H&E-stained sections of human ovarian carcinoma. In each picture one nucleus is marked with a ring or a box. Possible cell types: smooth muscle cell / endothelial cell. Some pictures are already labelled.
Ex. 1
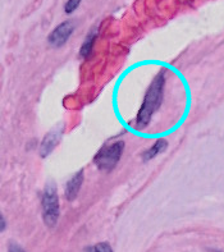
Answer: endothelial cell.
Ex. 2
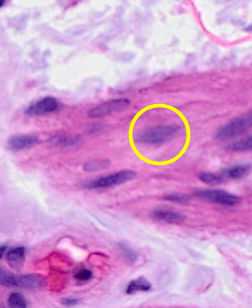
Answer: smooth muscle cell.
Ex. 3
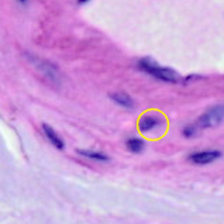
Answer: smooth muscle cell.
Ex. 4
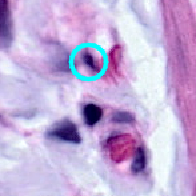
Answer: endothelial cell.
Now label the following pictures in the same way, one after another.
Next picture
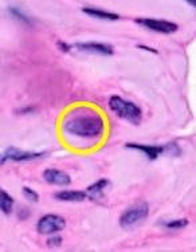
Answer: smooth muscle cell.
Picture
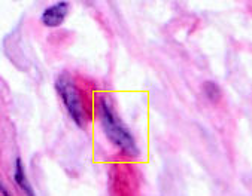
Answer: endothelial cell.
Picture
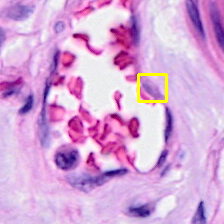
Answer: endothelial cell.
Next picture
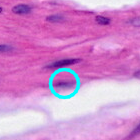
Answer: smooth muscle cell.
